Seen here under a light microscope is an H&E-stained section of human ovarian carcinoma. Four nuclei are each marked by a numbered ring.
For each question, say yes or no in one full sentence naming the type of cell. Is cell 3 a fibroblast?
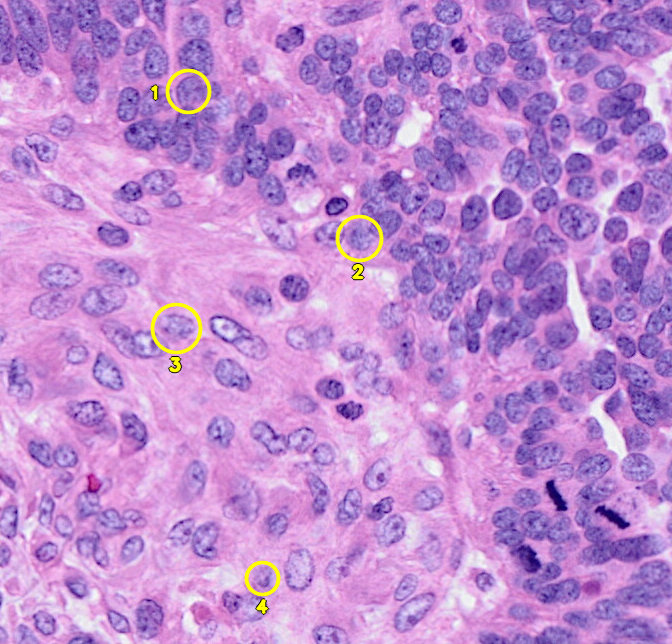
Yes, the cell pointed out as number 3 is a fibroblast.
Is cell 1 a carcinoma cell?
Yes, correct, the cell with the number 1 is a carcinoma cell.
